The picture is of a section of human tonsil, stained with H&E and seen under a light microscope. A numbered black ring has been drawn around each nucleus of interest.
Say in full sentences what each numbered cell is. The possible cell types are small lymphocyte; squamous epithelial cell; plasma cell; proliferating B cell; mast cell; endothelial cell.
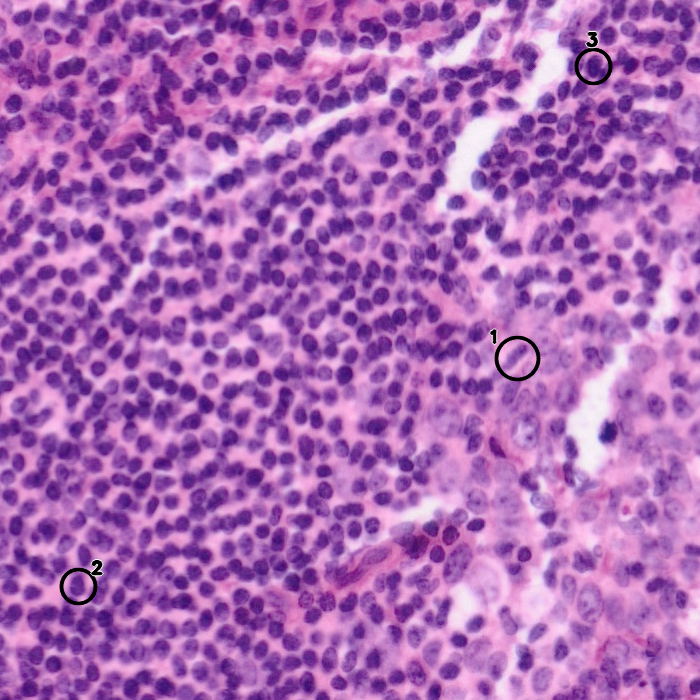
Cell 1 is a proliferating B cell. Cells 2 and 3 are small lymphocytes.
